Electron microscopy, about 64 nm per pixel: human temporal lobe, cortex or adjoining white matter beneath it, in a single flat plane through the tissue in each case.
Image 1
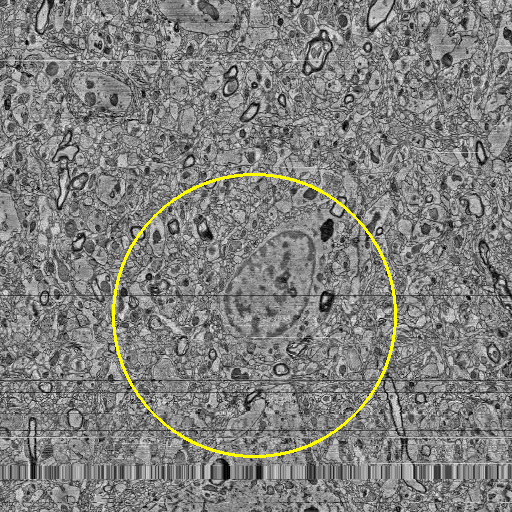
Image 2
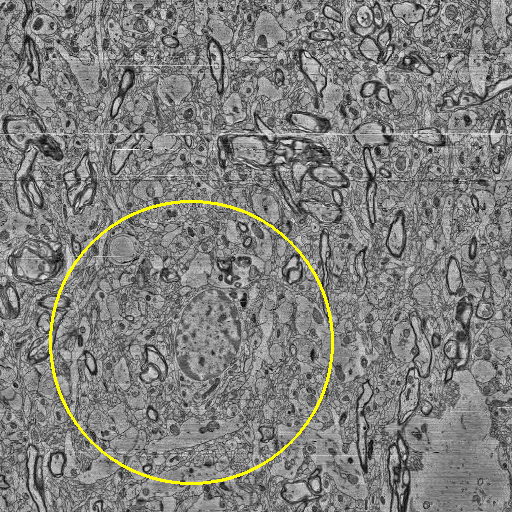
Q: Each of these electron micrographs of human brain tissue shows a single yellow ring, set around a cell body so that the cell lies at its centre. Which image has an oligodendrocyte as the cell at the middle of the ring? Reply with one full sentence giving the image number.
In image 1, the cell lying at the ring's centre is the requested one.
